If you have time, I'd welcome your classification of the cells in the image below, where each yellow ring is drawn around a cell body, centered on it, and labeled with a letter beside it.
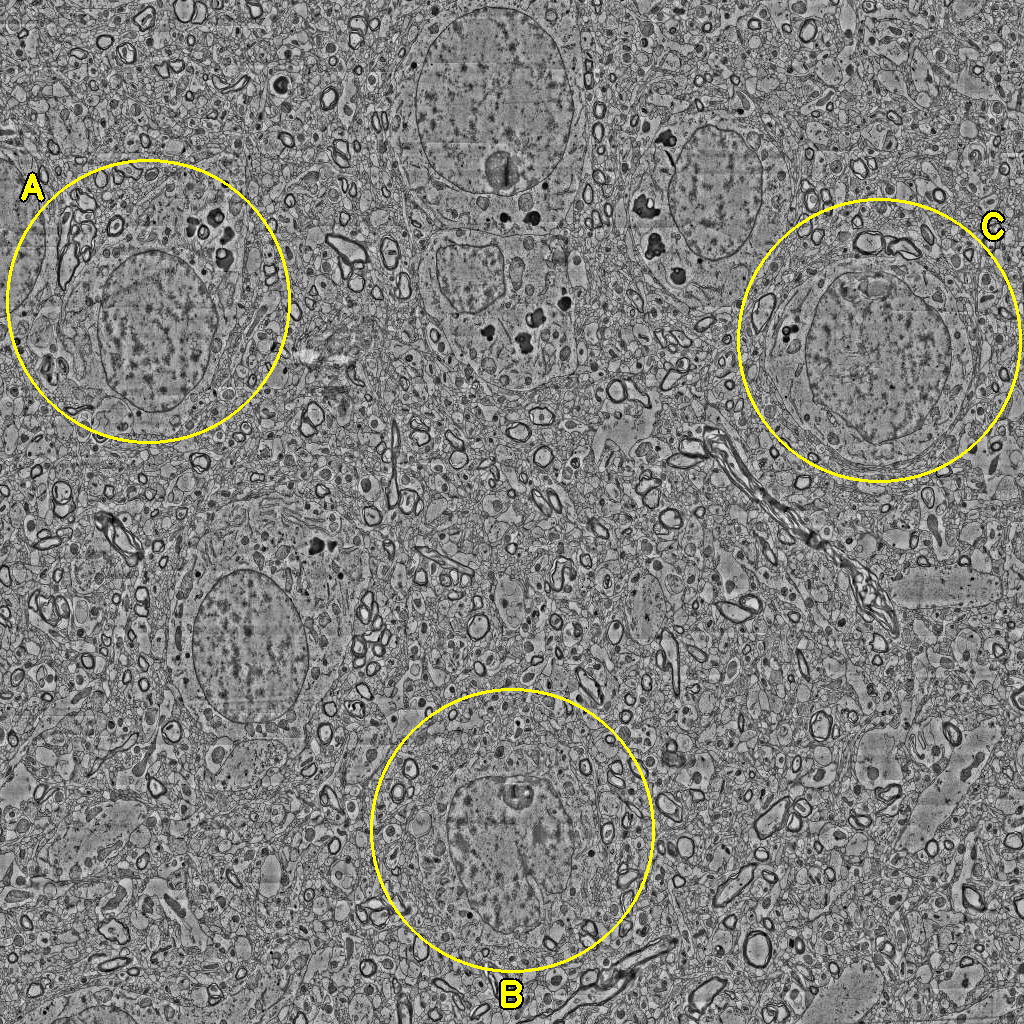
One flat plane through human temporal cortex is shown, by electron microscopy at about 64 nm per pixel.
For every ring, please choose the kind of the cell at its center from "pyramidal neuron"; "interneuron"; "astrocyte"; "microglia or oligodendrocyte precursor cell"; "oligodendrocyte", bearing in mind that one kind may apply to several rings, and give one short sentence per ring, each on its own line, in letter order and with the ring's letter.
At the center of ring A is a pyramidal neuron.
At the center of ring B is an interneuron.
At the center of ring C is a pyramidal neuron.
